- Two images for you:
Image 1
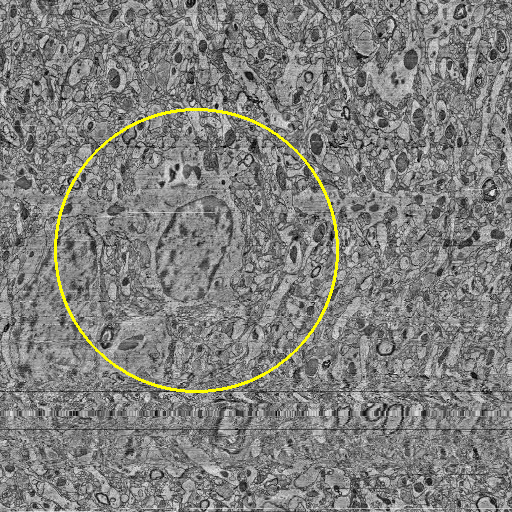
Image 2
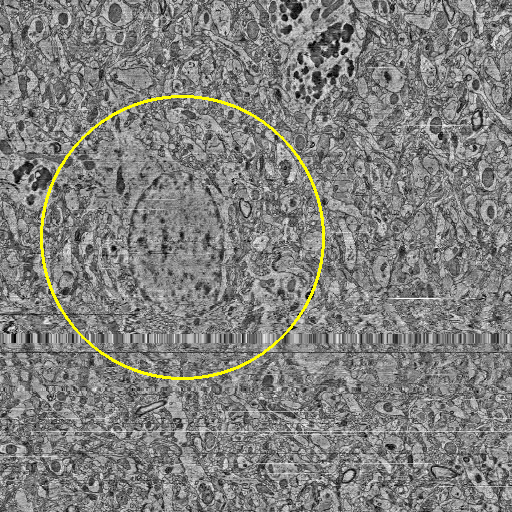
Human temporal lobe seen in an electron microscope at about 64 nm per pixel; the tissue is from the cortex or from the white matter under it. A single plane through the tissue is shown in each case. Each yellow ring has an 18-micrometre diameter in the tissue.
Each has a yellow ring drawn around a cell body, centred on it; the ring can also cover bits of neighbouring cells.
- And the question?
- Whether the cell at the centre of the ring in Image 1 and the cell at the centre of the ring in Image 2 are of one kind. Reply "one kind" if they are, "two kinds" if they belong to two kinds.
one kind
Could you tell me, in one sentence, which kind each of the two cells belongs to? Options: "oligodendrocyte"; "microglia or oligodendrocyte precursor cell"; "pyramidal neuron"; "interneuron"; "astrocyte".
The second cell is an astrocyte, just as the first is.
